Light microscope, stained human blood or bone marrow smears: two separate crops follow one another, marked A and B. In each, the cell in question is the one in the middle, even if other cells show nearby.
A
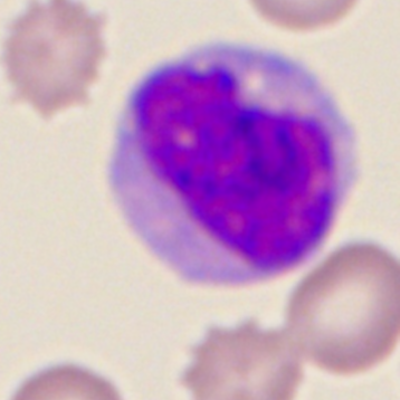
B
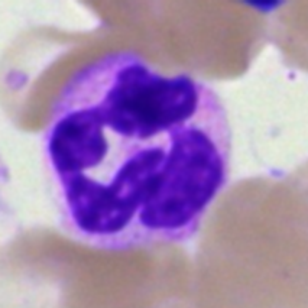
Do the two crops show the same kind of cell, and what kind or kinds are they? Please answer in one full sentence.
No, crop A has a monocyte in the middle, and crop B has a neutrophil.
